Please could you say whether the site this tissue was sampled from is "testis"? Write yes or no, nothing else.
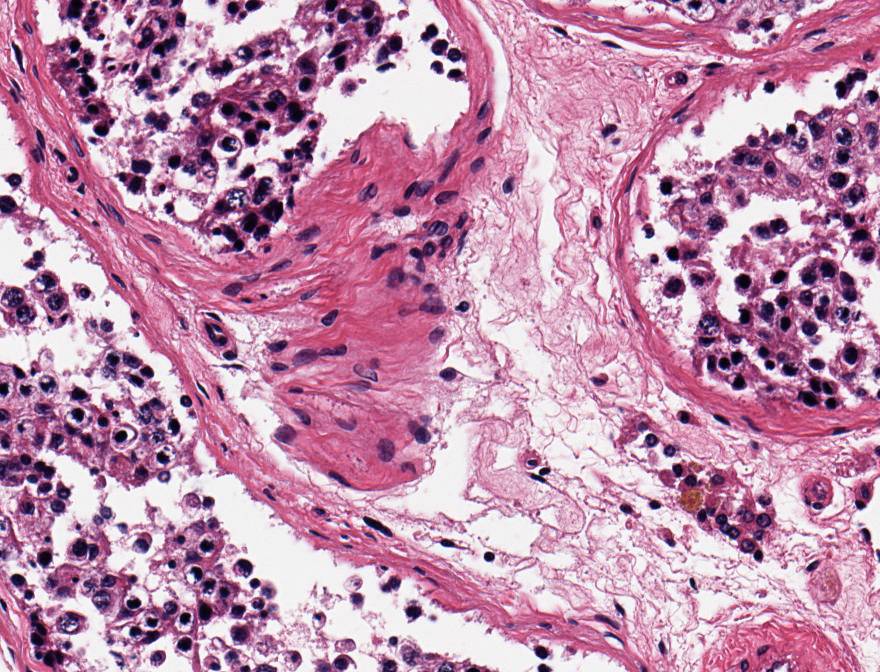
yes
